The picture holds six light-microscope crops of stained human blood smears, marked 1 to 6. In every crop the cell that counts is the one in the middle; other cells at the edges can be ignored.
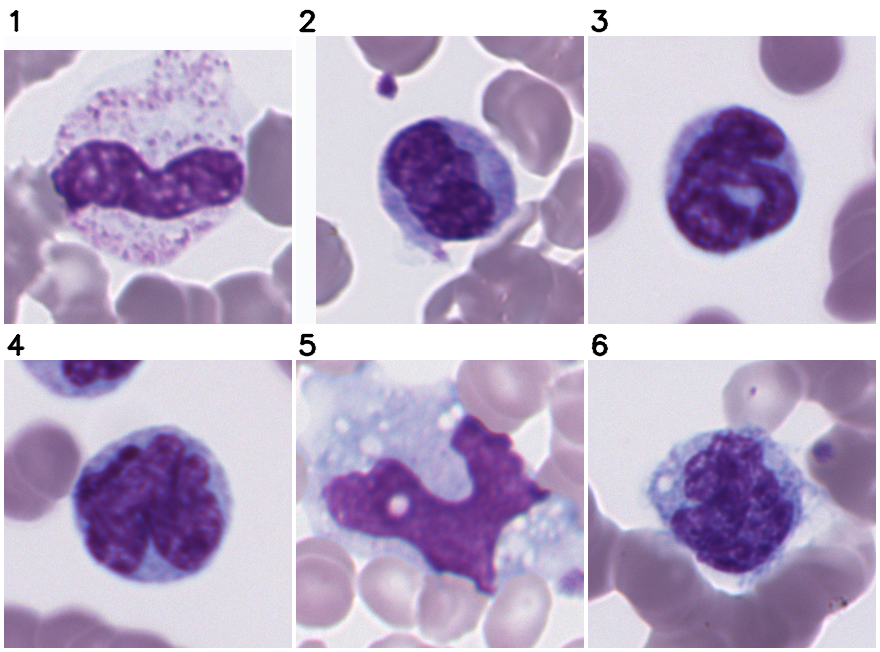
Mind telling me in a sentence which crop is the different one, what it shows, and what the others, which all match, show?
Crop 1 is the odd one out, being a segmented neutrophil, while all the other crops show monocytes.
